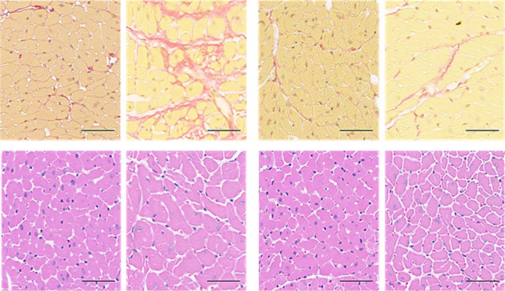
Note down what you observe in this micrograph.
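Cross-sections of heart muscle in which cardiomyocytes are cut across, shown with two stains. In the upper row the muscle cells are pale yellow, and red strands of connective tissue run between them; in one image these red strands form broad, branching bands that separate groups of cells, while in others they are thin lines. In the lower row the cardiomyocytes appear as closely packed pink polygons, each with a small purple nucleus, separated by narrow pale spaces. The size of the cell profiles varies between the images, with some showing clearly larger cross-sections than others.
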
